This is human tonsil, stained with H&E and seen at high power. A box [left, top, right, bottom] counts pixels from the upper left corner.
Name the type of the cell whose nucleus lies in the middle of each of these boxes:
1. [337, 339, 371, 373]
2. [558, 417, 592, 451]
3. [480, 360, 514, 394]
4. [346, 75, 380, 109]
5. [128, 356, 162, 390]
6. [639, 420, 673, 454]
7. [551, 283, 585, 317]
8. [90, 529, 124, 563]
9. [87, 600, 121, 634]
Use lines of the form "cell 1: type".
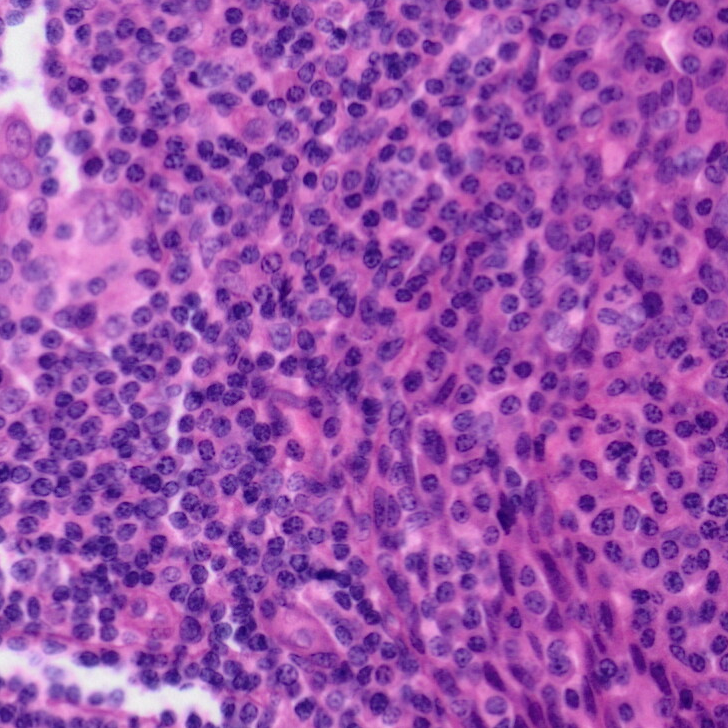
cell 1: plasma cell
cell 2: plasma cell
cell 3: plasma cell
cell 4: small lymphocyte
cell 5: small lymphocyte
cell 6: plasma cell
cell 7: plasma cell
cell 8: small lymphocyte
cell 9: small lymphocyte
